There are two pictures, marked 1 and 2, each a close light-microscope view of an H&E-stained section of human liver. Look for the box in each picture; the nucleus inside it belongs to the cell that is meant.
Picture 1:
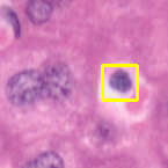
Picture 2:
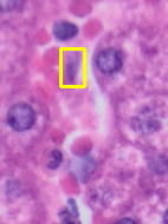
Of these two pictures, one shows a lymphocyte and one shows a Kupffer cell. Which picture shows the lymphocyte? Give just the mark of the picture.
1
